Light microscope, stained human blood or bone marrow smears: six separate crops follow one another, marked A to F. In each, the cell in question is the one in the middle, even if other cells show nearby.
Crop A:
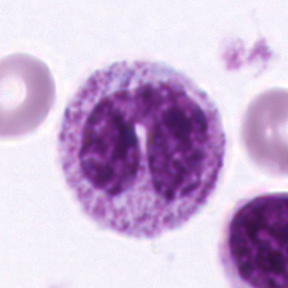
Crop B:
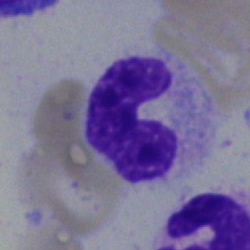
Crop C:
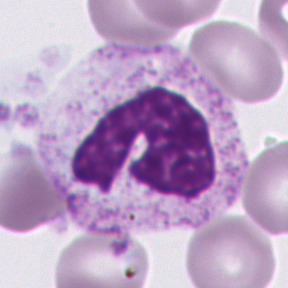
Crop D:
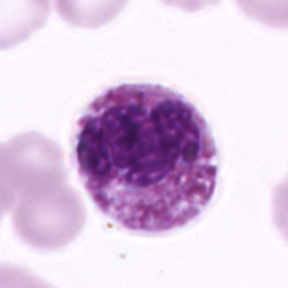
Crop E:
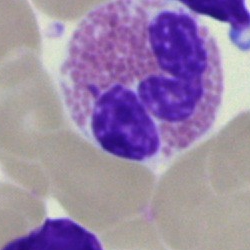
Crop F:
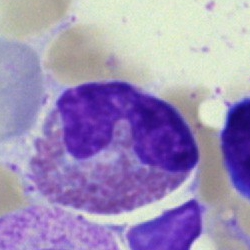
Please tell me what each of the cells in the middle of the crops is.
A: band neutrophil
B: band neutrophil
C: band neutrophil
D: eosinophil
E: eosinophil
F: eosinophil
